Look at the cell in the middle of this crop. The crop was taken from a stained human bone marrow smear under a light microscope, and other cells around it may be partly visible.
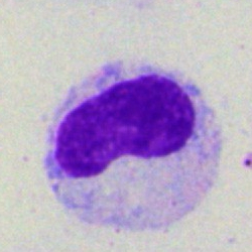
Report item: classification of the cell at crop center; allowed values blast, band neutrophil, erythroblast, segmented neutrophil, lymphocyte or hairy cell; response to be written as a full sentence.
Classification of the middle cell gives a band neutrophil.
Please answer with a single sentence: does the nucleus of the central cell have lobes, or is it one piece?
One compact mass makes up the whole nucleus, round, oval or kidney-shaped.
